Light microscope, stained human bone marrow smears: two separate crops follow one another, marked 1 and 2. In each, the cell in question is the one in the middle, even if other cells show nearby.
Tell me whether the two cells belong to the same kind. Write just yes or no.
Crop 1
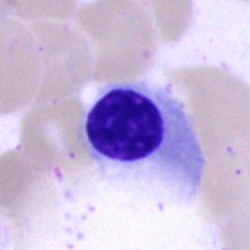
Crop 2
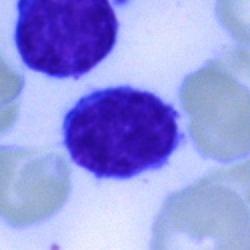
no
